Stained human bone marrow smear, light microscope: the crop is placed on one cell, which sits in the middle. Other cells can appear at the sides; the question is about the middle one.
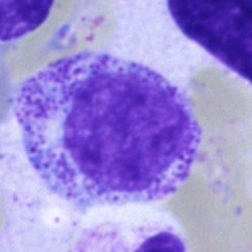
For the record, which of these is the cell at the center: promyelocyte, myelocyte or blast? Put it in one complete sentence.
The cell in the exact centre of the crop is a myelocyte.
